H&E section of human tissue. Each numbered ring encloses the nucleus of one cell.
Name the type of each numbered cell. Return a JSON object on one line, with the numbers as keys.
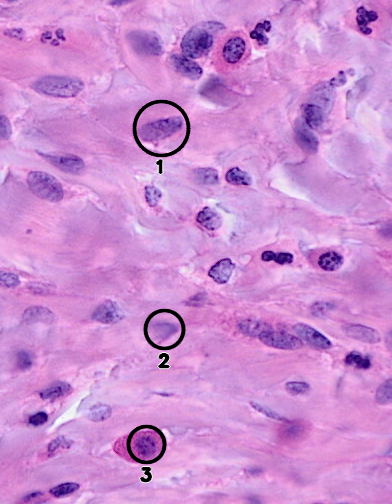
{"1": "fibroblast", "2": "fibroblast", "3": "mast cell"}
